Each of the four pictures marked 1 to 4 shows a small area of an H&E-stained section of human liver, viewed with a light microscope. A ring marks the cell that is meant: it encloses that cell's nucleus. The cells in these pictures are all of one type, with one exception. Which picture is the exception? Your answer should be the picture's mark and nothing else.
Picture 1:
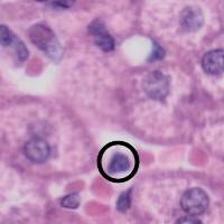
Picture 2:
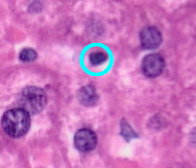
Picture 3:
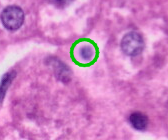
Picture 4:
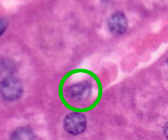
4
